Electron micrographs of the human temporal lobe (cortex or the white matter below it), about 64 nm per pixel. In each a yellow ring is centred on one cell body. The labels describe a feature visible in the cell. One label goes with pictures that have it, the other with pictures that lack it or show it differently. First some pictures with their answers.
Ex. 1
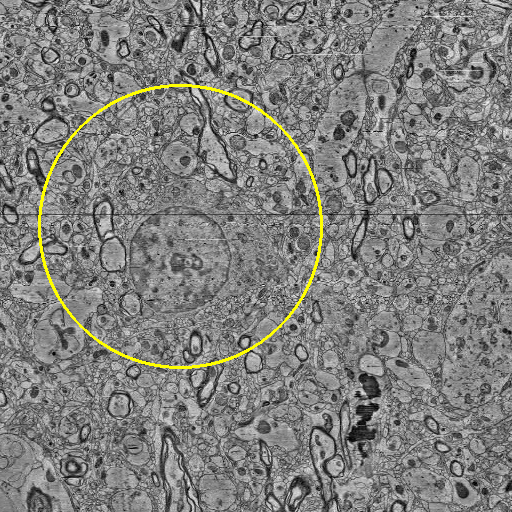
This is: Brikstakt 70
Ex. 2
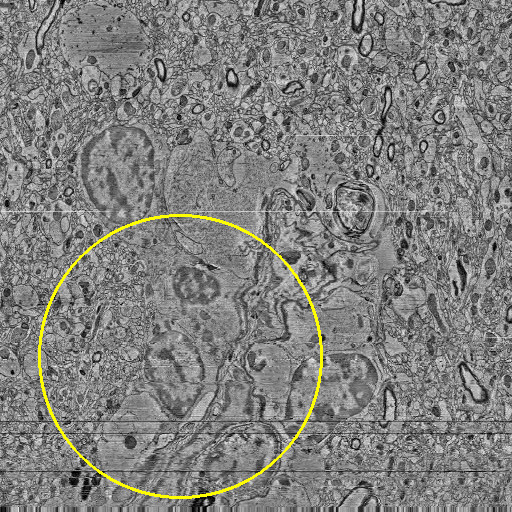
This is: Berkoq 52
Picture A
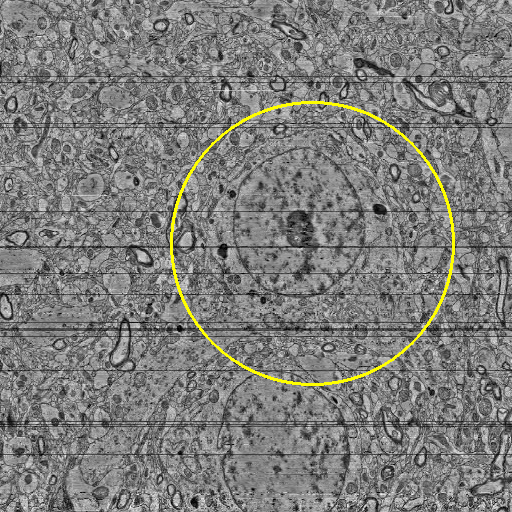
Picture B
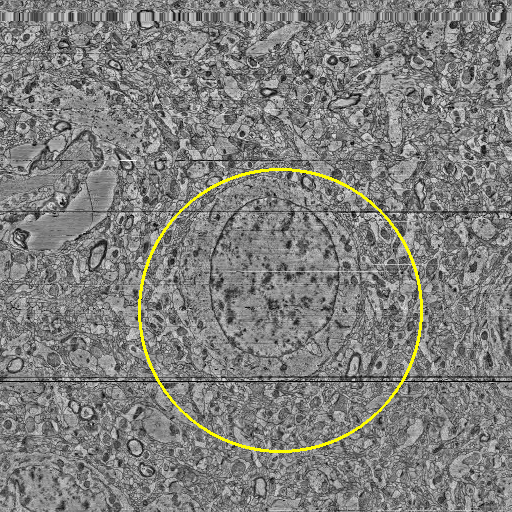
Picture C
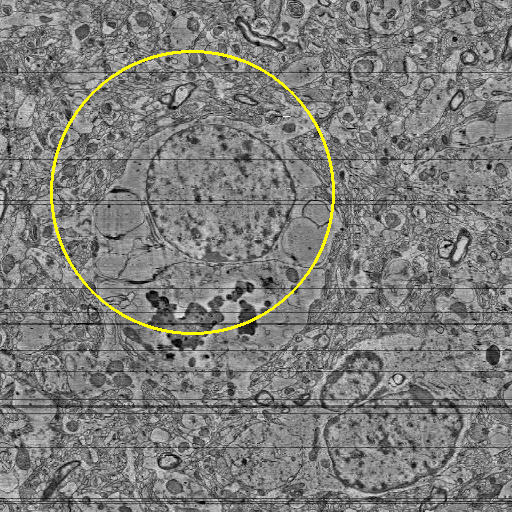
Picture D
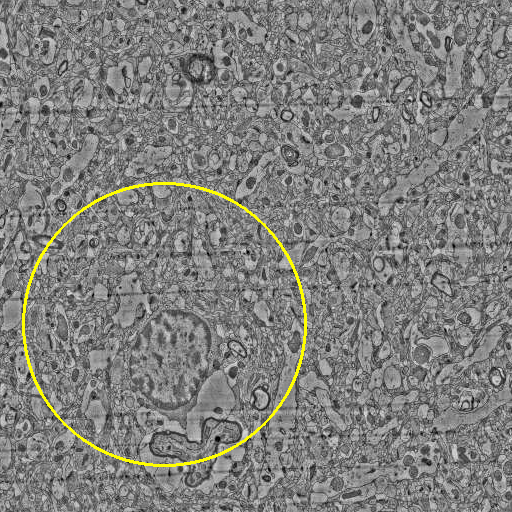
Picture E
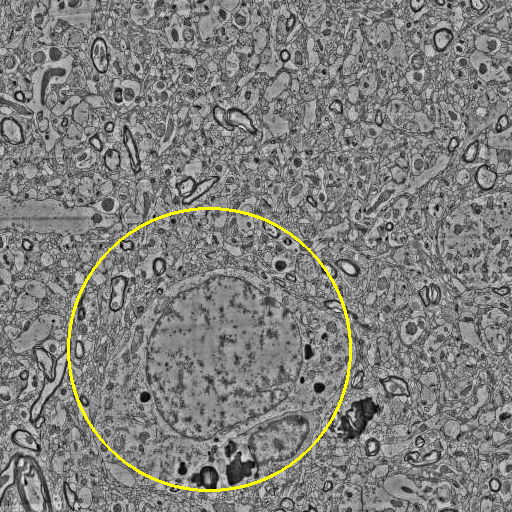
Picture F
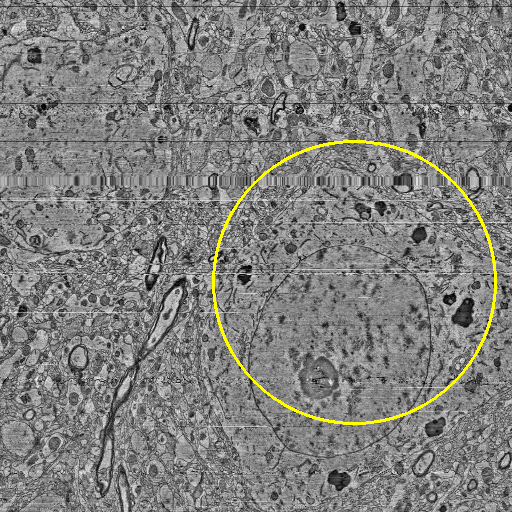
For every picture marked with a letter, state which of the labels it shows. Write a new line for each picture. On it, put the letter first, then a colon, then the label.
A: Brikstakt 70
B: Berkoq 52
C: Berkoq 52
D: Berkoq 52
E: Berkoq 52
F: Brikstakt 70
